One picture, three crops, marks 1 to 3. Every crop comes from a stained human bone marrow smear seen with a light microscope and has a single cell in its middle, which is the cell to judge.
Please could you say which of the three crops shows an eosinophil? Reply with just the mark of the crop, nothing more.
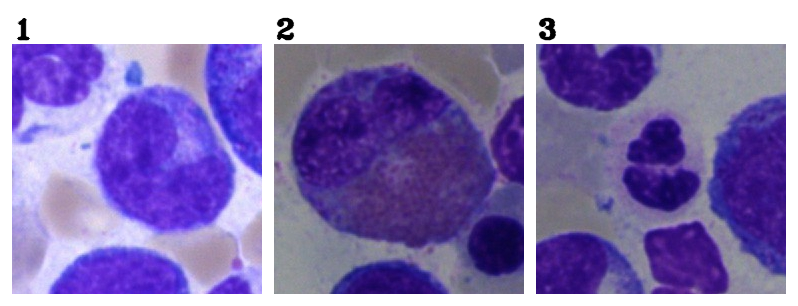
2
